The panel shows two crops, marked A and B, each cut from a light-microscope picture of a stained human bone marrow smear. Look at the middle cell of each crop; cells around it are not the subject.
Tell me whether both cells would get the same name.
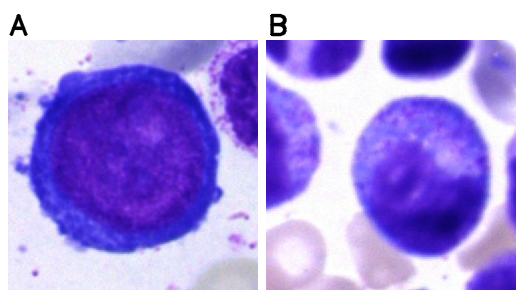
no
